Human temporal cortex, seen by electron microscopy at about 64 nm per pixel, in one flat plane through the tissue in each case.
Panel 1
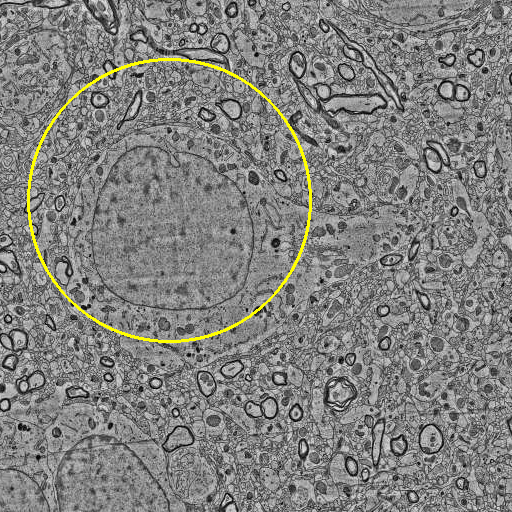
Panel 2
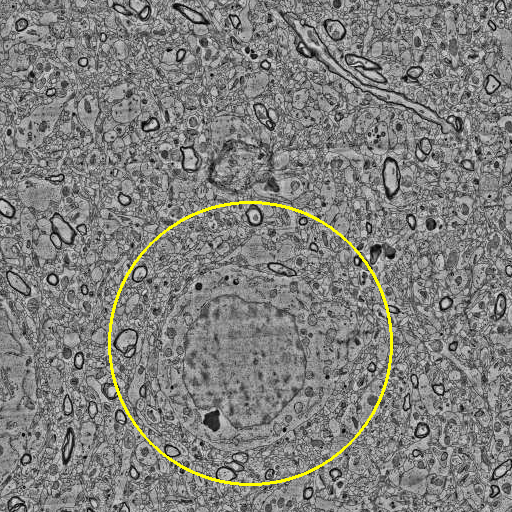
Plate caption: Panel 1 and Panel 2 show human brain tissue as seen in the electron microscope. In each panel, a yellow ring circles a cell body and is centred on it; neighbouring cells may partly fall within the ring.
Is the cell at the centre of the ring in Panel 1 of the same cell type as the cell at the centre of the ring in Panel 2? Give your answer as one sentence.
No, the two cells are of two types.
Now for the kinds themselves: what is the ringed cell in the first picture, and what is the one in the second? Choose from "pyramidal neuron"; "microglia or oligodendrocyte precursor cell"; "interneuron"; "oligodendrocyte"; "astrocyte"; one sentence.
Here the first cell is a pyramidal neuron and the second cell is an interneuron.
